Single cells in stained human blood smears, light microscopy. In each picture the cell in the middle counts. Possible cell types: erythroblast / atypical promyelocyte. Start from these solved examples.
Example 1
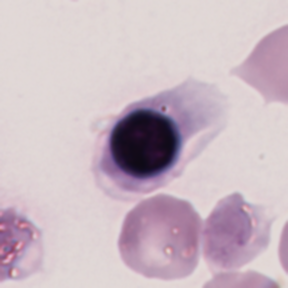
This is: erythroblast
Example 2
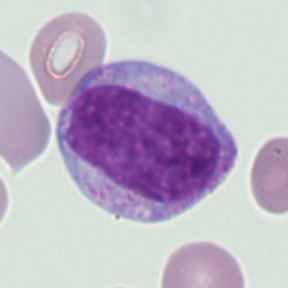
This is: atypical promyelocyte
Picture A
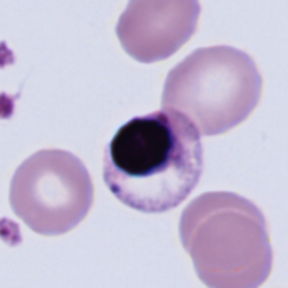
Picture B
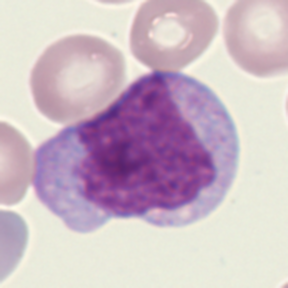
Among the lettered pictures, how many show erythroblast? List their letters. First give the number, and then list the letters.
Count: 1 (A)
